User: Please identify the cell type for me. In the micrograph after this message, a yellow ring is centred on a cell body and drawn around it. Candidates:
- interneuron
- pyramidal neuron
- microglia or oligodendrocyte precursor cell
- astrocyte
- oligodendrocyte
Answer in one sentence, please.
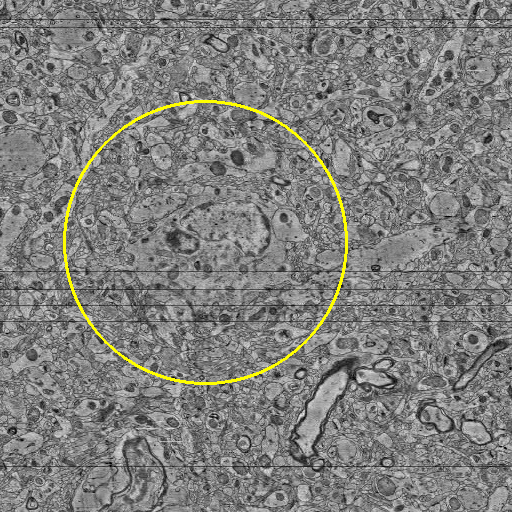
The ring is drawn around the cell body of a microglial cell or oligodendrocyte precursor cell.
